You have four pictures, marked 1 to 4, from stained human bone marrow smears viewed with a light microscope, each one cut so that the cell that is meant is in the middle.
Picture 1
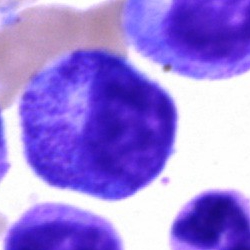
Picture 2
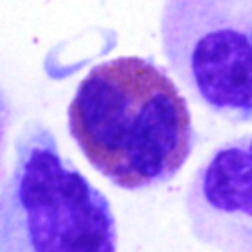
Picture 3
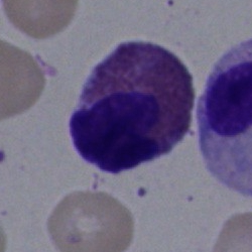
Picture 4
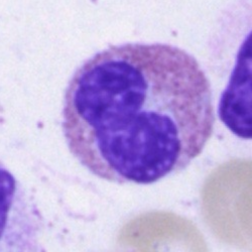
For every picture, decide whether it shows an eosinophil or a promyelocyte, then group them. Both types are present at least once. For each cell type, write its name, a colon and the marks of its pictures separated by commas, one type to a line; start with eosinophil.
eosinophil: 2, 3, 4
promyelocyte: 1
